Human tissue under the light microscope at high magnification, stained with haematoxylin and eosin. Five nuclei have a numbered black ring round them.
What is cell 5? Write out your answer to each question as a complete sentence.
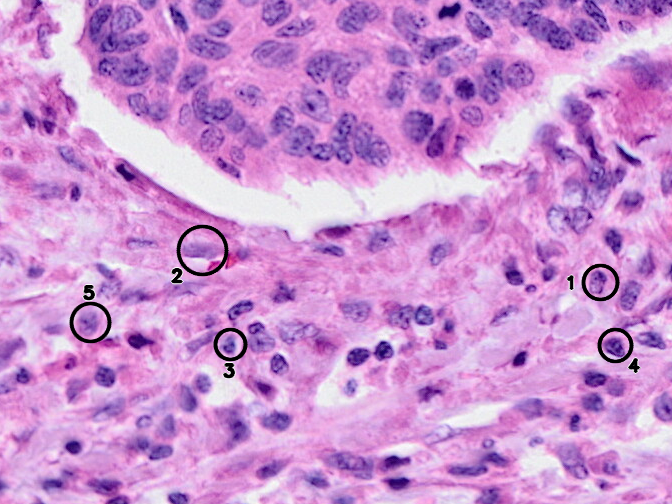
The one numbered 5 among the marked cells is a macrophage or monocyte.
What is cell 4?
Cell 4 should be recorded as a lymphocyte.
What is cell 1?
Cell 1 of the marked set is a macrophage or monocyte.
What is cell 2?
The one labeled 2 is an endothelial cell, to put it simply.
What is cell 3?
The cell numbered 3 has been identified as a lymphocyte.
